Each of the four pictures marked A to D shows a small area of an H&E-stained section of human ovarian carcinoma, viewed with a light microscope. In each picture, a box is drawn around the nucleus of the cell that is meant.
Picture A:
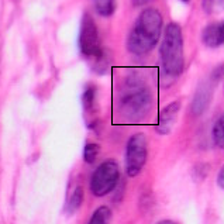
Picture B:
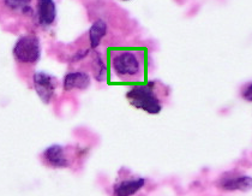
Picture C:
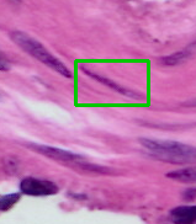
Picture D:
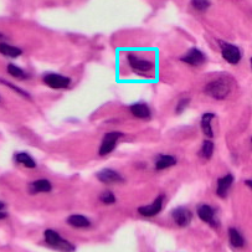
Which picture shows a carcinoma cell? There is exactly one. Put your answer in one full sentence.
The picture with the carcinoma cell is A.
